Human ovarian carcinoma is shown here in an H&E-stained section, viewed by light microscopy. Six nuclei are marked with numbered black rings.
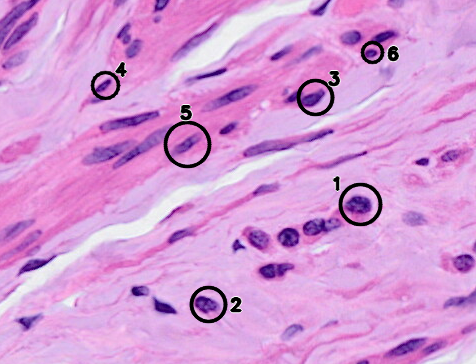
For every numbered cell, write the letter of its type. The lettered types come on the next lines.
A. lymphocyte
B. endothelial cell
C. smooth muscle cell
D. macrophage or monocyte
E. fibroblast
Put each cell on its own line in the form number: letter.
1: A
2: A
3: C
4: C
5: C
6: C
